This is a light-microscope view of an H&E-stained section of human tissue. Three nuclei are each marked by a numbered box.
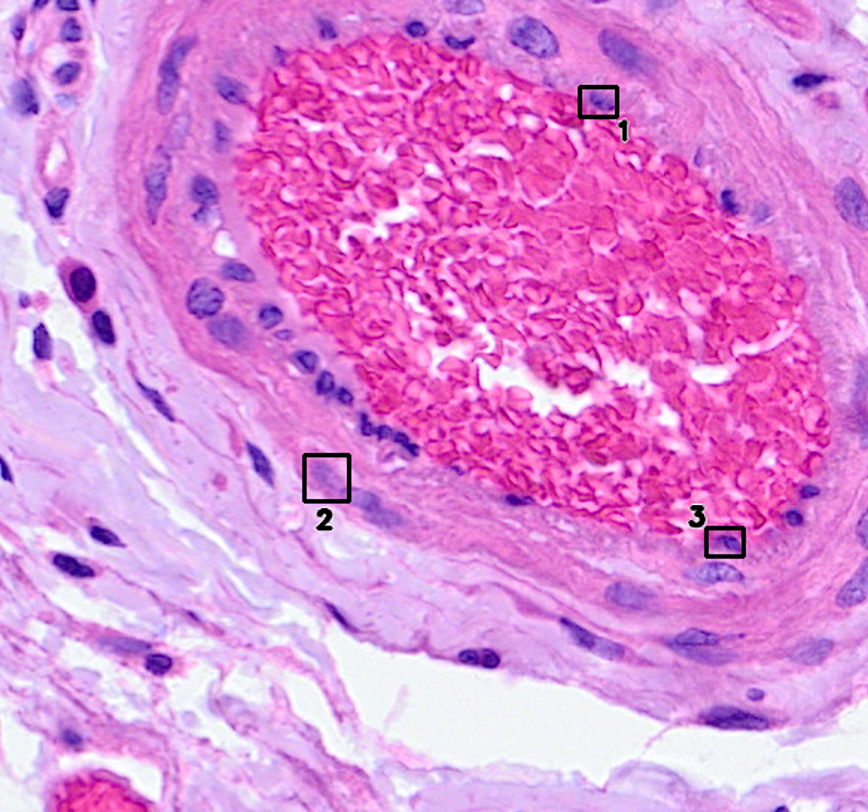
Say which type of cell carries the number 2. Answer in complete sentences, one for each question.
Belonging to a smooth muscle cell is the nucleus that carries the number 2.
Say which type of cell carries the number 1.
Among the marked cells, number 1 is an endothelial cell.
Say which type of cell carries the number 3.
Identified as an endothelial cell is the cell bearing the number 3.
